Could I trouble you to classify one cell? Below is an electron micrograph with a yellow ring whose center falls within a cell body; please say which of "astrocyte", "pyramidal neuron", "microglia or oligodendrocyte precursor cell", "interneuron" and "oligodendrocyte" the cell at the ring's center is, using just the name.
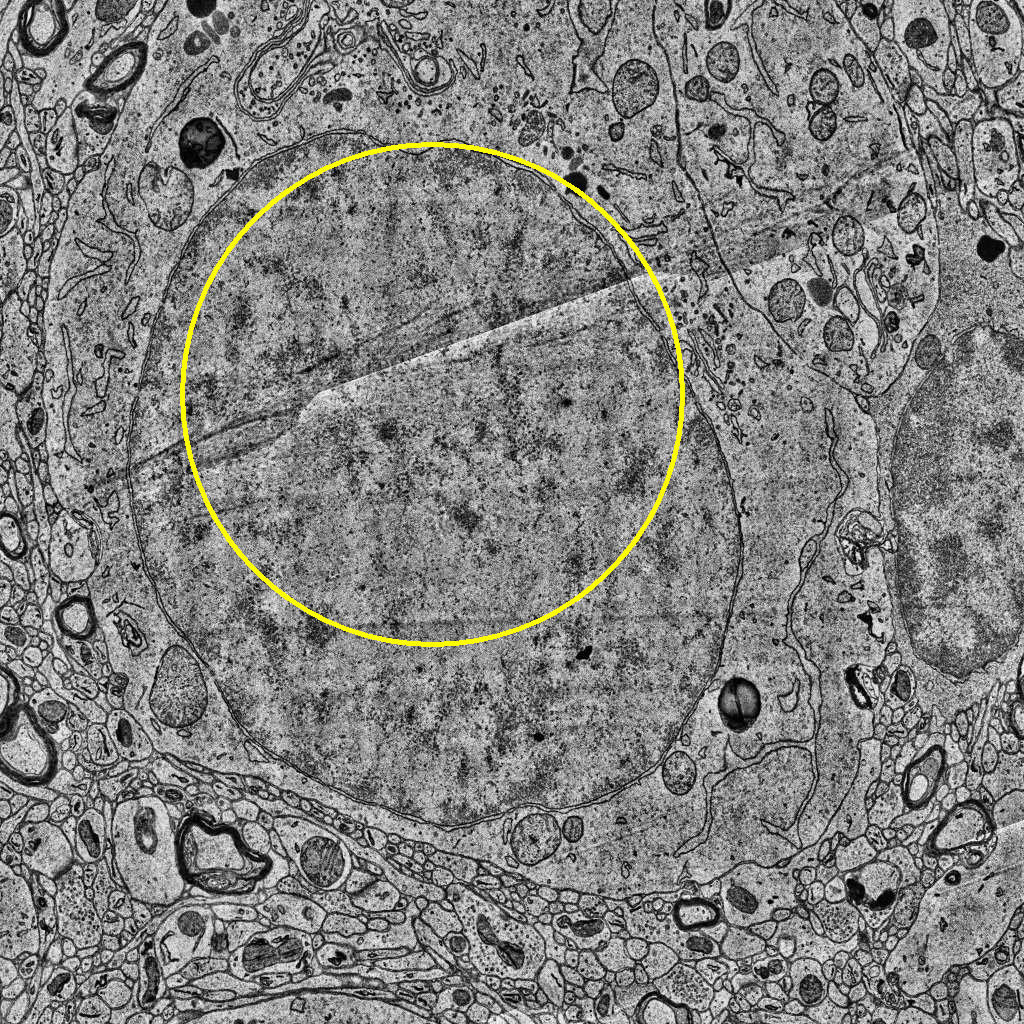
interneuron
